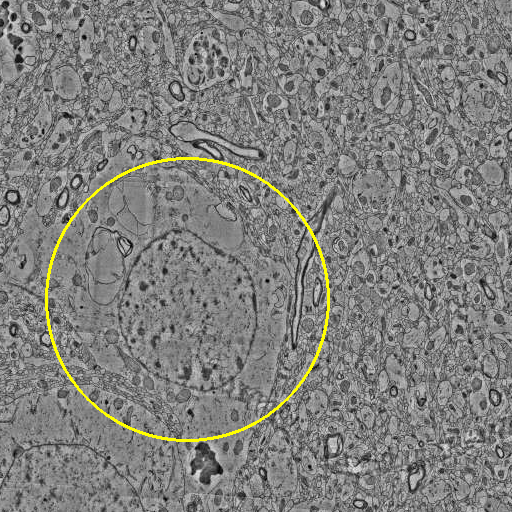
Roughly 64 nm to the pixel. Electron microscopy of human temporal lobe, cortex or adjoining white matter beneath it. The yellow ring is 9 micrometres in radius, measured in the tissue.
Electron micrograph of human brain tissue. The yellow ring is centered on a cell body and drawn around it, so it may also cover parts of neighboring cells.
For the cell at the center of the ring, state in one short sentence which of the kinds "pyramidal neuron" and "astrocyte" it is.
This ring is centered on an astrocyte.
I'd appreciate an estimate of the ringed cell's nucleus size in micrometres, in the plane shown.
The nucleus is approximately 11 micrometers long by 9 micrometers wide in this plane.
